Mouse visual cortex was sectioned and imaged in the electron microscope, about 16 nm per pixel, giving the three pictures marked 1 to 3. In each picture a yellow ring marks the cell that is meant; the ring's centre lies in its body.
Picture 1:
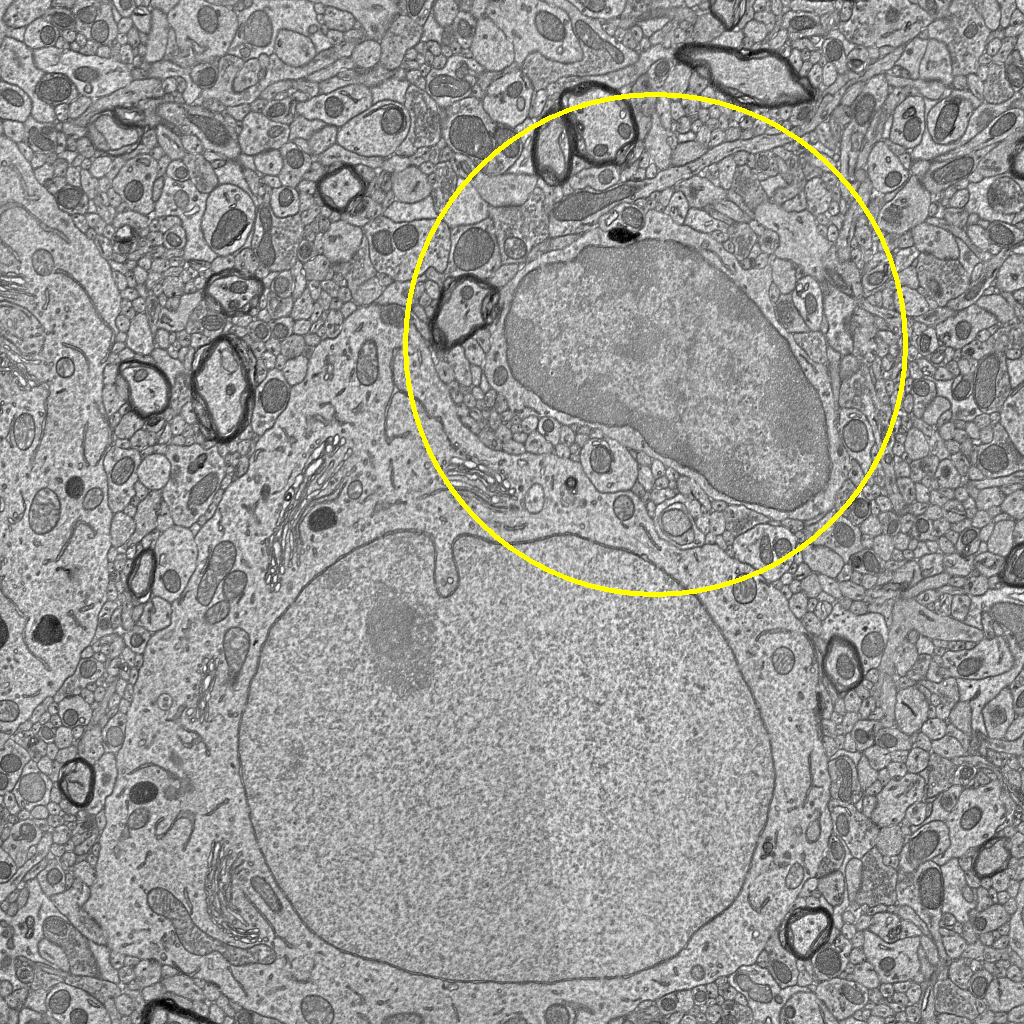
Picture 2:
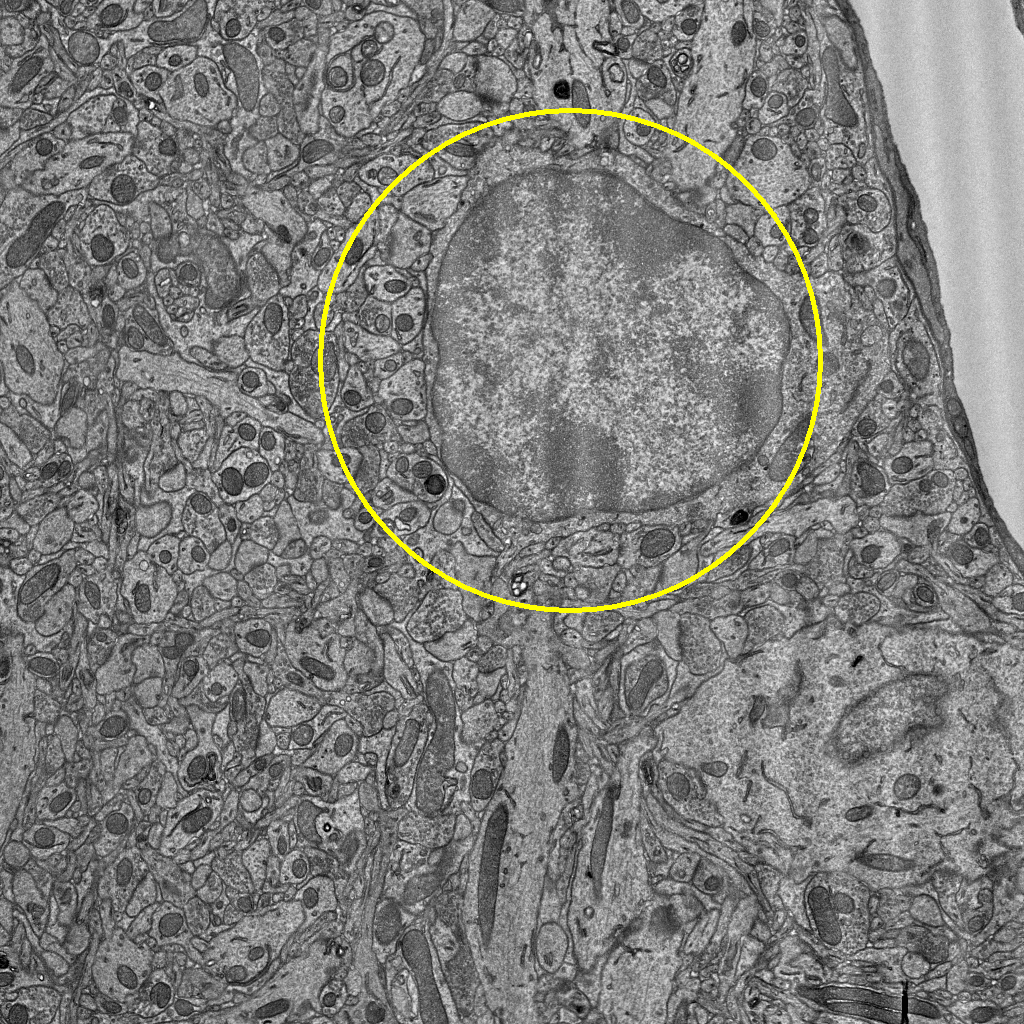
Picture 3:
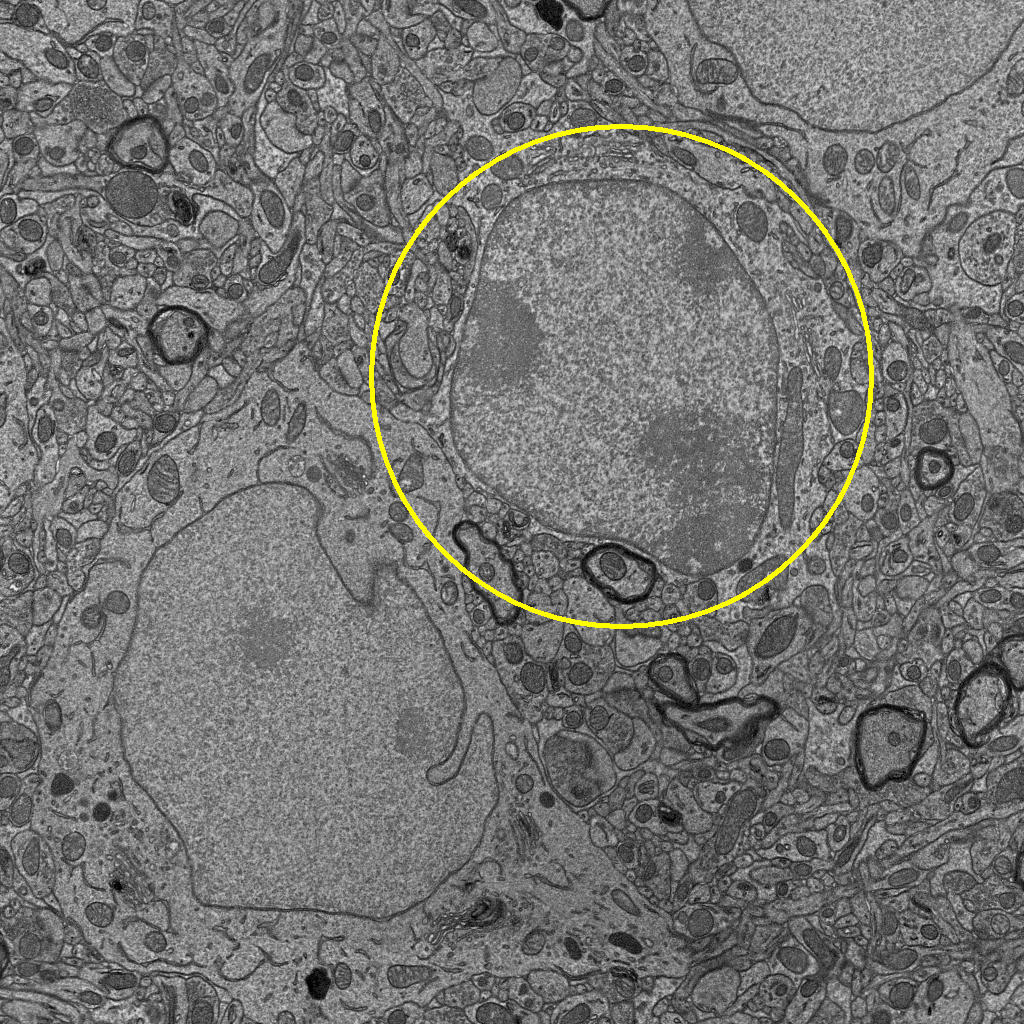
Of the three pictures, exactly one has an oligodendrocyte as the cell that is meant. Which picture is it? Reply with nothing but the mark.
2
